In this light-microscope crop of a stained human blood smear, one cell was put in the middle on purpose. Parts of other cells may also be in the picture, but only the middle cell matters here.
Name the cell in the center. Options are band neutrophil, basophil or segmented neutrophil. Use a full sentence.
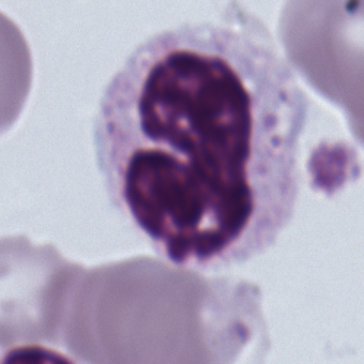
Standing at the centre of this crop is a band neutrophil.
